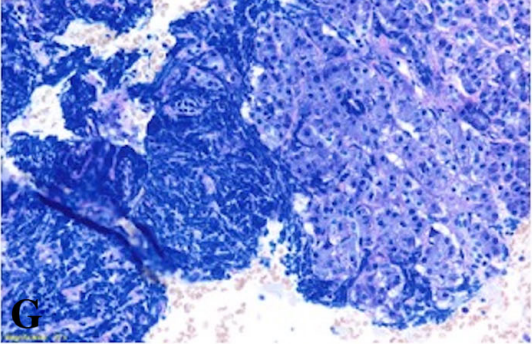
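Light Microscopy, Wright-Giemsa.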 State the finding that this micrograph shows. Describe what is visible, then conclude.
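On the left, dense sheets of small cells with dark blue nuclei. These sheets crowd and replace the glandular tissue beside them. That points to this answer: massive infiltration.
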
